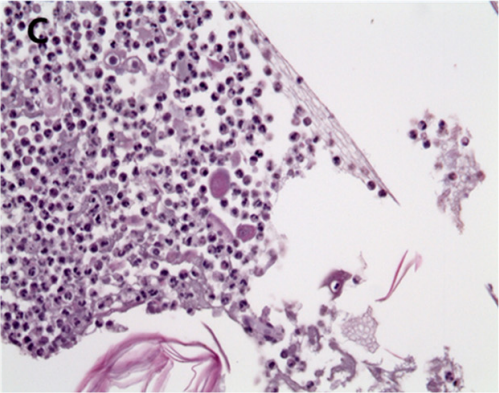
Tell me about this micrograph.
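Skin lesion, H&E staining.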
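Most cells are small with compact, dark purple nuclei, consistent with neutrophils, while scattered among them are larger rounded cells with abundant pink cytoplasm and a single round nucleus, lying separately rather than joined into a sheet. Wavy pink strands of keratin or fibrin lie at the lower edge, and the right part of the field is largely empty with a few small clumps of cells.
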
